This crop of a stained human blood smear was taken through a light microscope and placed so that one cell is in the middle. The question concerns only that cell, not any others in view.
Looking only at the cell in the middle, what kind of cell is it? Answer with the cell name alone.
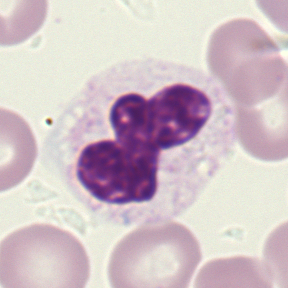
segmented neutrophil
